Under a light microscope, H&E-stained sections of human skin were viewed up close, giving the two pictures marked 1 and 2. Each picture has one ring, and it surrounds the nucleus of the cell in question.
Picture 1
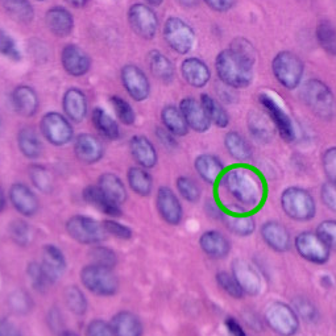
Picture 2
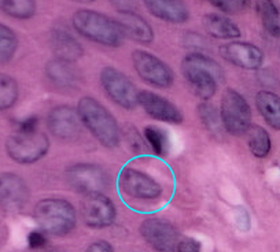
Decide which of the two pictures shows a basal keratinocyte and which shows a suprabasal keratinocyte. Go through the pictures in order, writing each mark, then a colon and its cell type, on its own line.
1: suprabasal keratinocyte
2: basal keratinocyte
